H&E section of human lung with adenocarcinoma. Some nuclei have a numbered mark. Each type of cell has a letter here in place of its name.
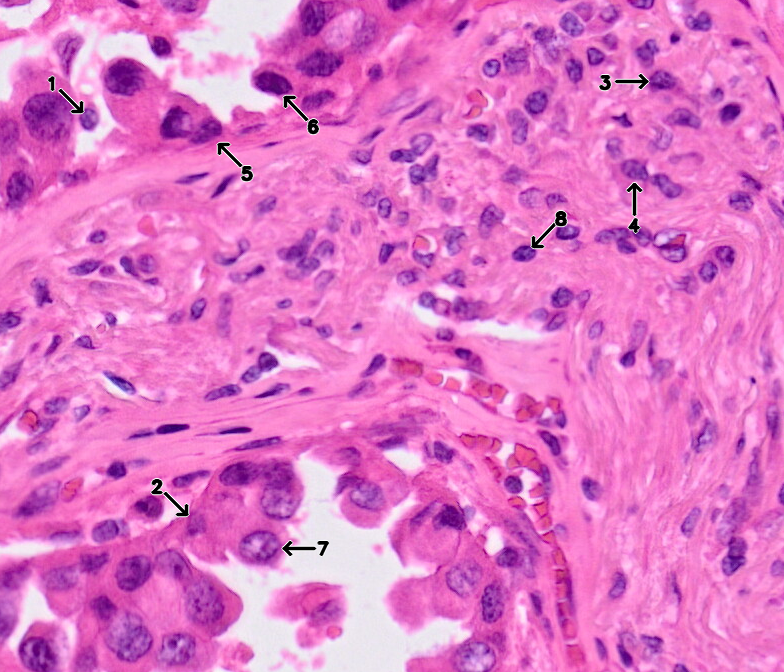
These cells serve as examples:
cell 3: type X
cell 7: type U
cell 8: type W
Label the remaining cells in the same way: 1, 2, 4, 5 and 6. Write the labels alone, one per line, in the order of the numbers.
type W
type U
type X
type U
type U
